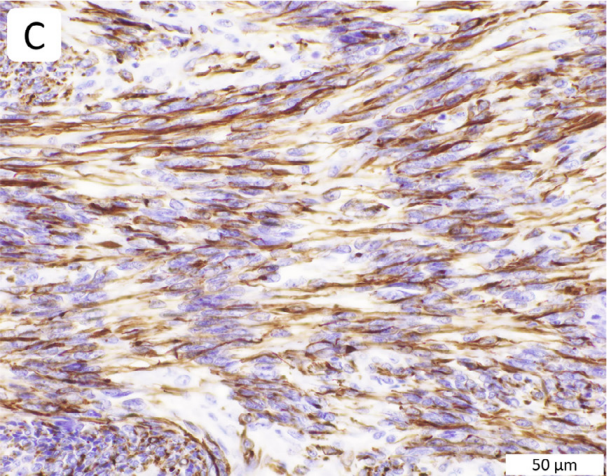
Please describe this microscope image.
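The brown stain follows the long axis of the cells, so the streams look like brown fibres. In the lower left corner and along the lower edge the cells are packed more tightly.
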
